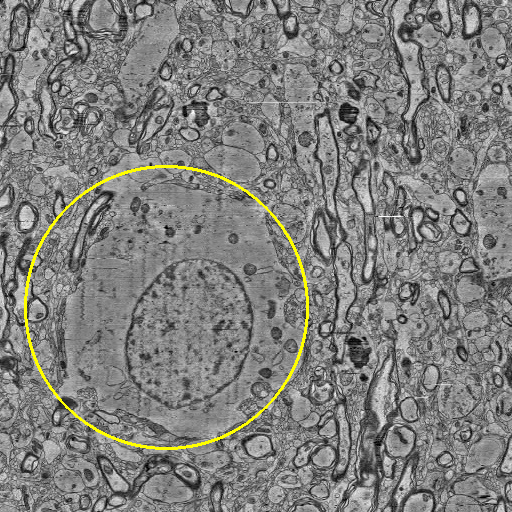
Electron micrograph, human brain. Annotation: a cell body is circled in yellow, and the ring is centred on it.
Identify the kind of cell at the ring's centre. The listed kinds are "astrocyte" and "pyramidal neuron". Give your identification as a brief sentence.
The circled cell body is that of an astrocyte.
